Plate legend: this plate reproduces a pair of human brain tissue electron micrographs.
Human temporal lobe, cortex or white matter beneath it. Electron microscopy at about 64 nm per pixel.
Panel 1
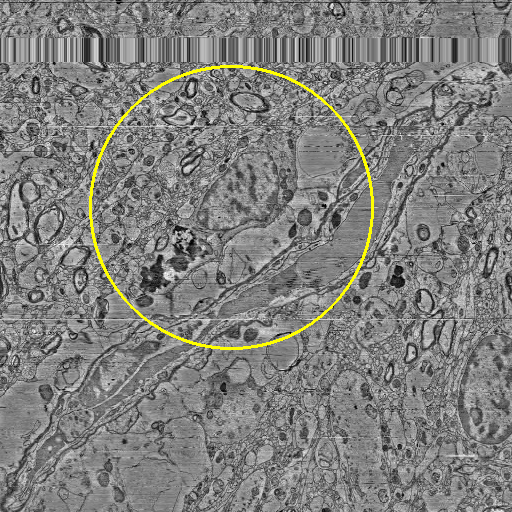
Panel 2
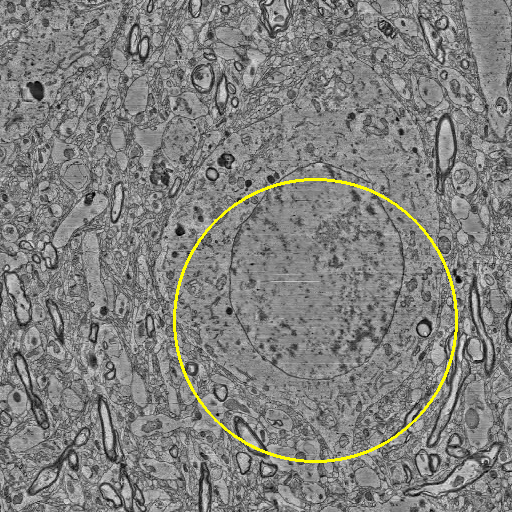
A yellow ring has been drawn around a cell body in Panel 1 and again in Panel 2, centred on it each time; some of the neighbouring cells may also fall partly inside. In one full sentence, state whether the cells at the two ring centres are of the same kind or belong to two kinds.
The ring-centred cells of Panel 1 and Panel 2 belong to two kinds.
